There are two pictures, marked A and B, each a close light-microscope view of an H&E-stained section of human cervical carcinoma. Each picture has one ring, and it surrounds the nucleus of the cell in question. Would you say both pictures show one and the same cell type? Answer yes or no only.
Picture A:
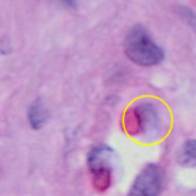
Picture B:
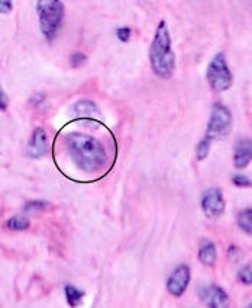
yes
